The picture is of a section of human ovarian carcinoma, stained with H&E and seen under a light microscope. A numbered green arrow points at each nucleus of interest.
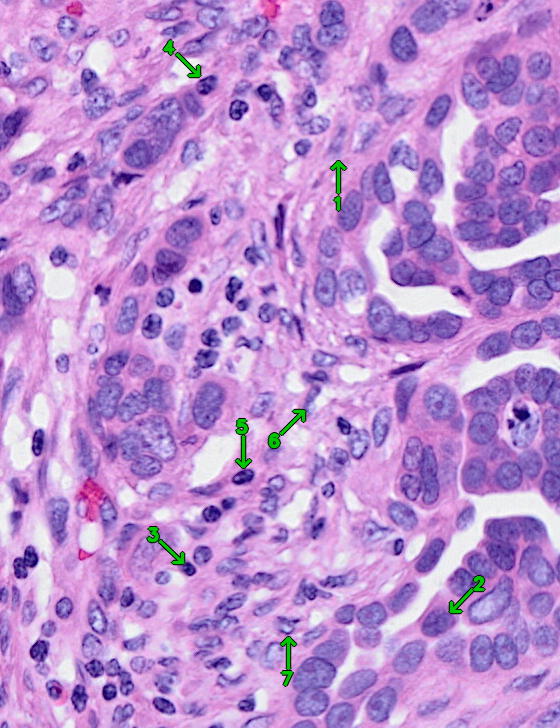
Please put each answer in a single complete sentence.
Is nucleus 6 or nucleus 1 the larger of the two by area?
At about 2.5 times the area of nucleus 6, nucleus 1 is the larger of the two.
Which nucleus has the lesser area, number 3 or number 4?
Nucleus 3 is the smaller one; nucleus 4 covers about 2.5 times its area.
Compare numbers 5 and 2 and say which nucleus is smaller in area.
Nucleus 5 is the smaller one; nucleus 2 covers about 2 times its area.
